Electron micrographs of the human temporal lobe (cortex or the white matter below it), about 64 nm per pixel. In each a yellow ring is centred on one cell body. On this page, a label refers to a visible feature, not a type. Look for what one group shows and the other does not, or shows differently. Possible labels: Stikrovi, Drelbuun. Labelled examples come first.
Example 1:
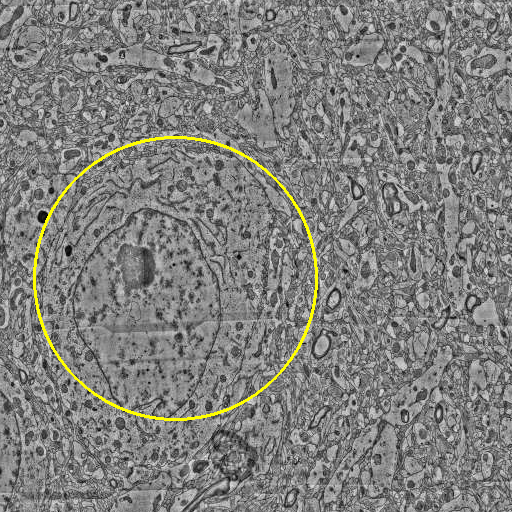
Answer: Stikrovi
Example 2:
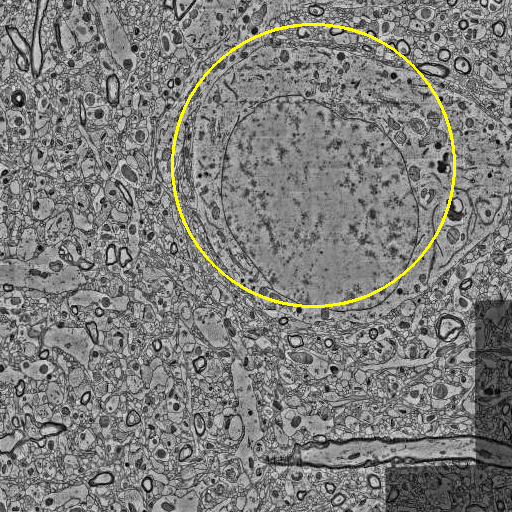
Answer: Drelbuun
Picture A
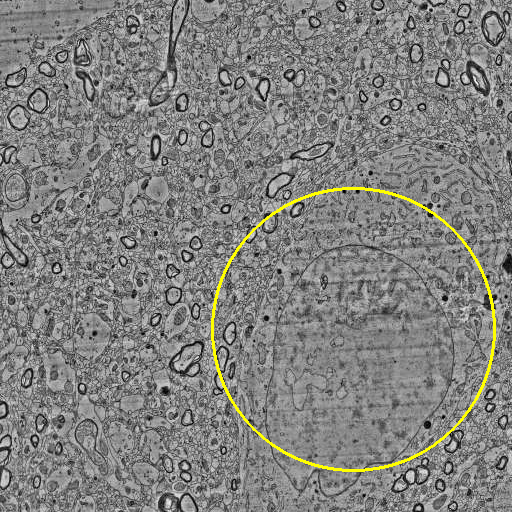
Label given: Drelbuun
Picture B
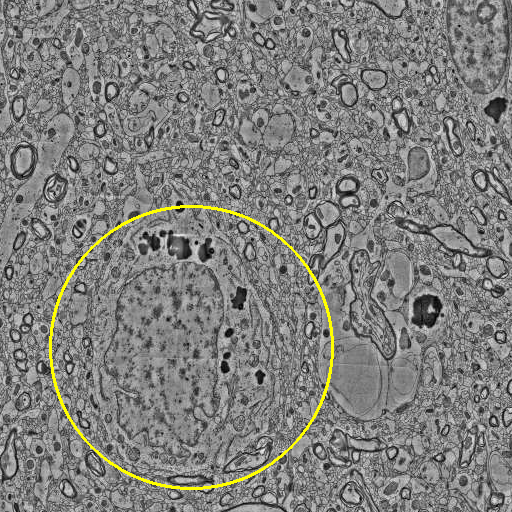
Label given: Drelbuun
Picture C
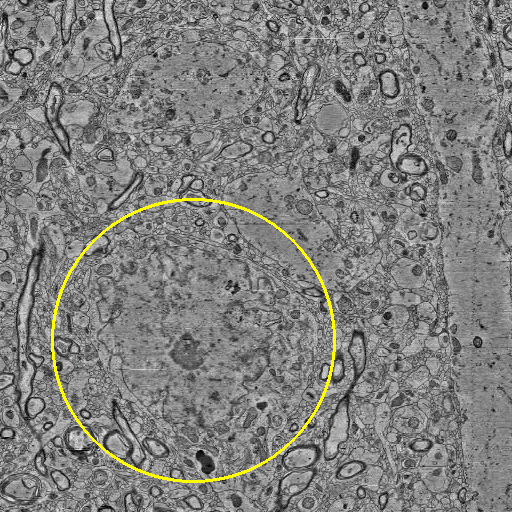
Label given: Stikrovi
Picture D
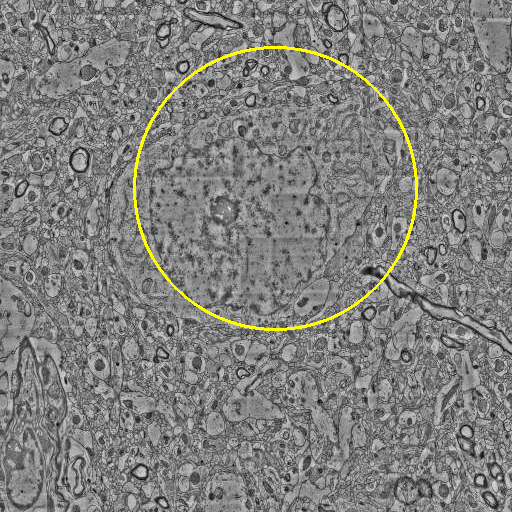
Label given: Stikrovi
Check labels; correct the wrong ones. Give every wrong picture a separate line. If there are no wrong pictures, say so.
None of the labels needs changing.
